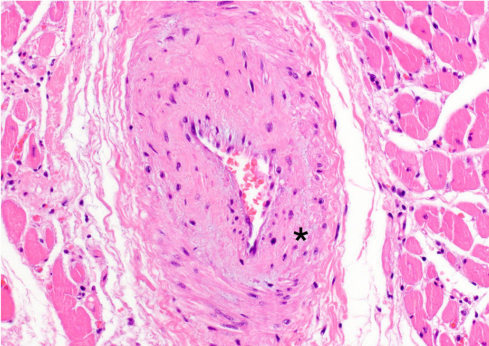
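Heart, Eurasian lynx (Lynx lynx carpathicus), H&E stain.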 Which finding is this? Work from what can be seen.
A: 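A small artery sits among cardiac muscle fibres. Its wall is very broad compared with the narrow slit-like lumen.
Marked thickening of the arterial wall.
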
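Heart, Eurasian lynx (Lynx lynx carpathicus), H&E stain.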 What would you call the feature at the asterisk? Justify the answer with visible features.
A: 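Mucin-like material. Pale, faintly bluish, loose material lies between cells in the vessel wall near the asterisk.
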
